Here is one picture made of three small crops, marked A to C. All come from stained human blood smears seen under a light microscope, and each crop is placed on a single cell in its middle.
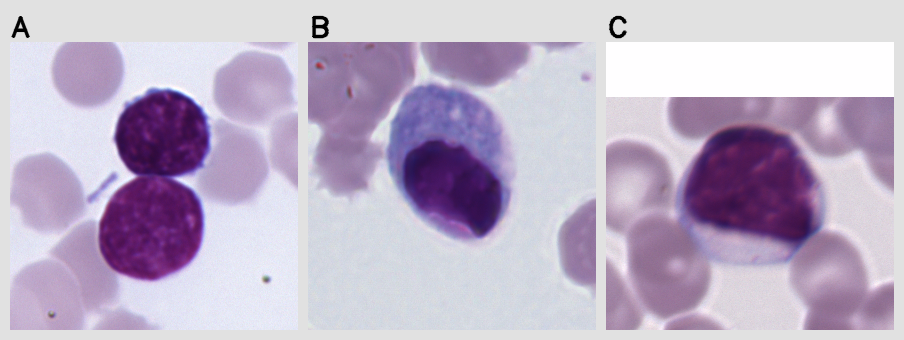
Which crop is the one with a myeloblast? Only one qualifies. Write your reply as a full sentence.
Of the crops shown, crop A depicts a myeloblast.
